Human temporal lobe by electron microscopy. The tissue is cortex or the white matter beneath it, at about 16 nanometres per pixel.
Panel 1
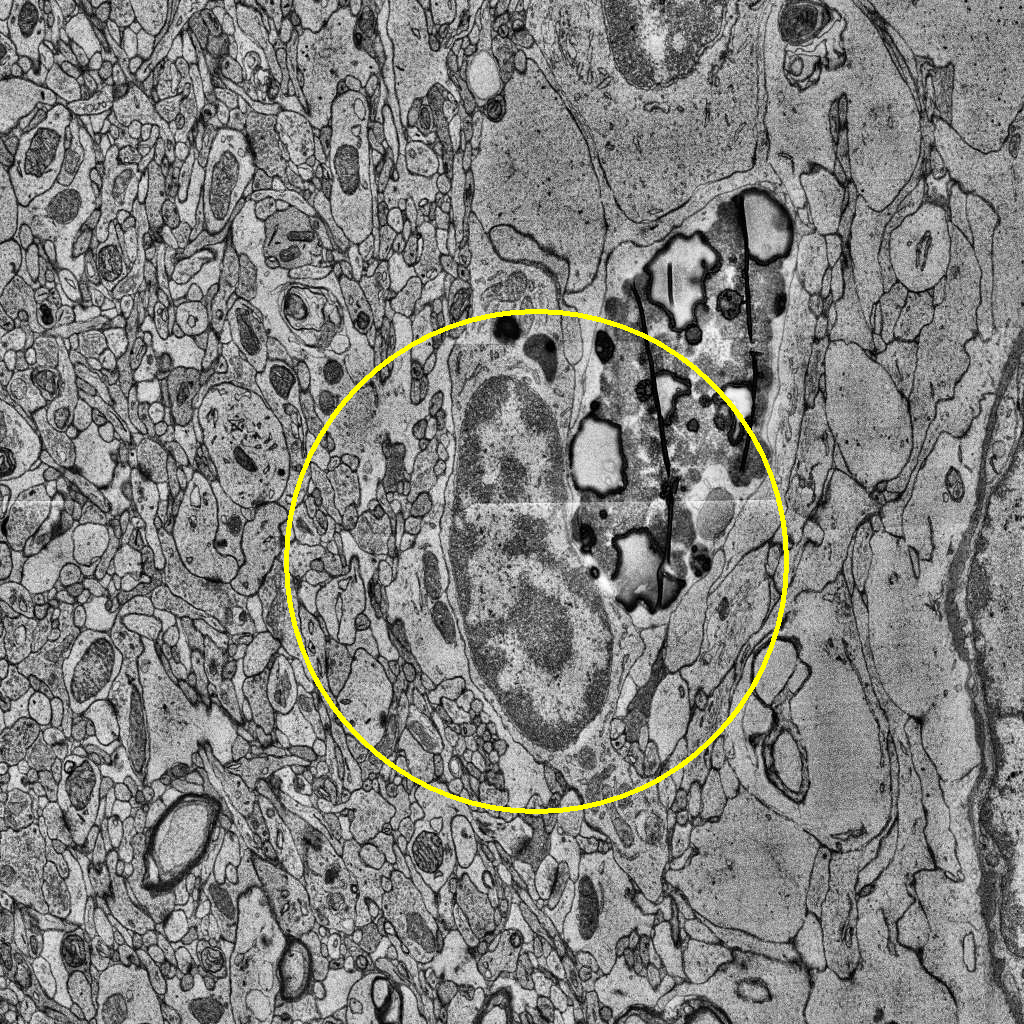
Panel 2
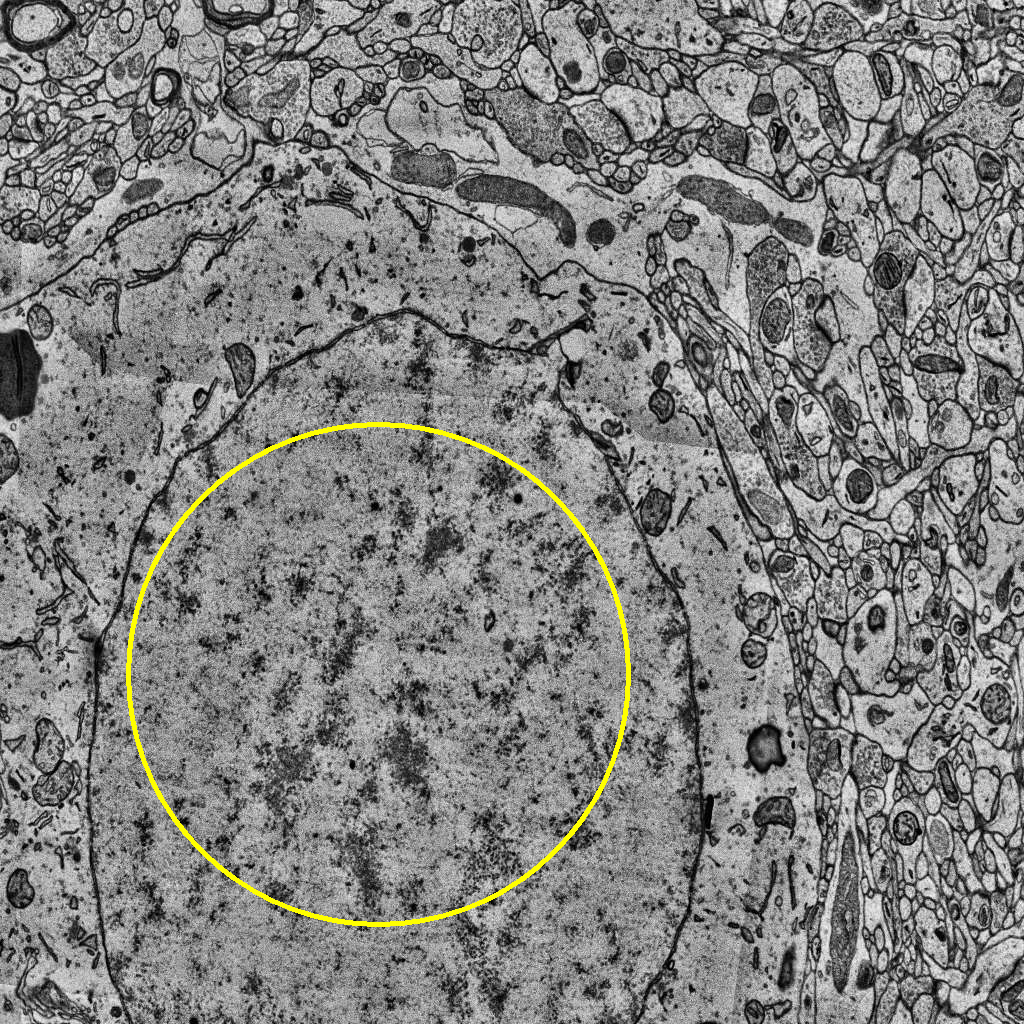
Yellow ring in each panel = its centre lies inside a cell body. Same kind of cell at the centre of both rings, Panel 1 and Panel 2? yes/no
no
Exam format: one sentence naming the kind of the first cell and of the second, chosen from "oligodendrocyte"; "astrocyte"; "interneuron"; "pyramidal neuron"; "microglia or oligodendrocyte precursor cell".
The cell in the second picture is a pyramidal neuron, and that in the first is a microglial cell or oligodendrocyte precursor cell.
